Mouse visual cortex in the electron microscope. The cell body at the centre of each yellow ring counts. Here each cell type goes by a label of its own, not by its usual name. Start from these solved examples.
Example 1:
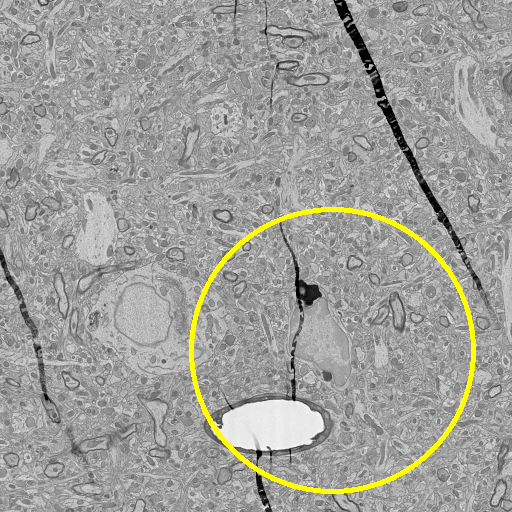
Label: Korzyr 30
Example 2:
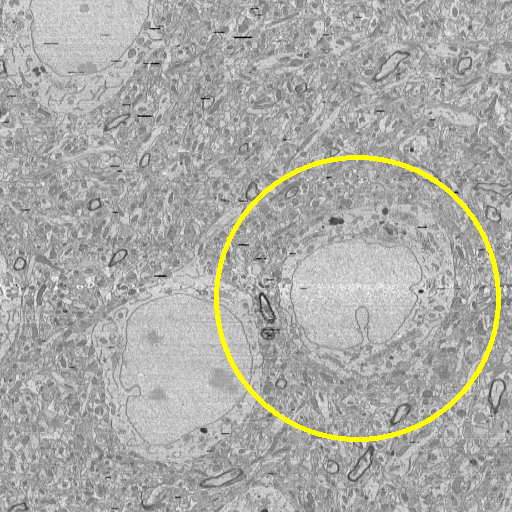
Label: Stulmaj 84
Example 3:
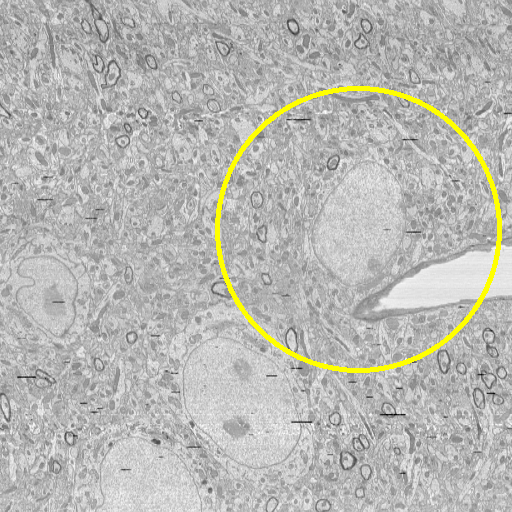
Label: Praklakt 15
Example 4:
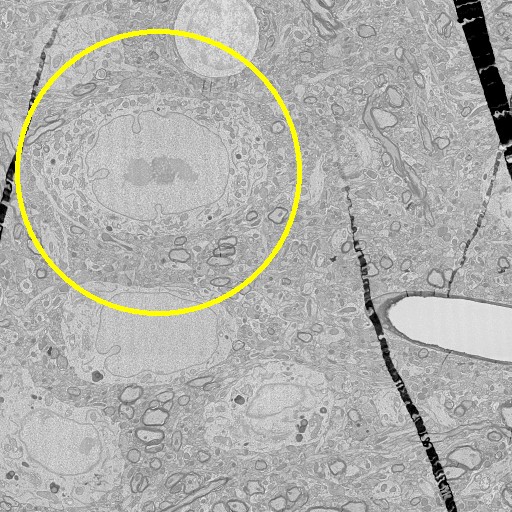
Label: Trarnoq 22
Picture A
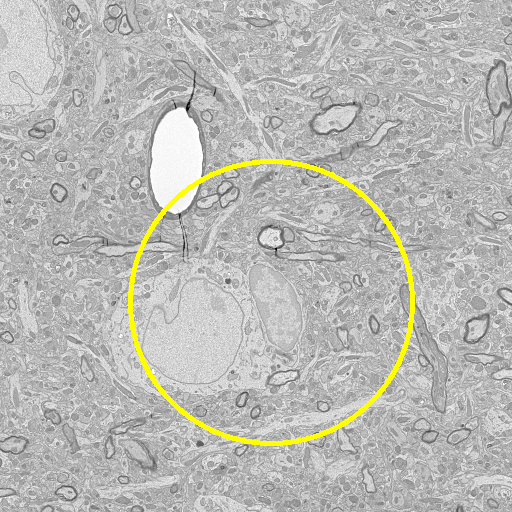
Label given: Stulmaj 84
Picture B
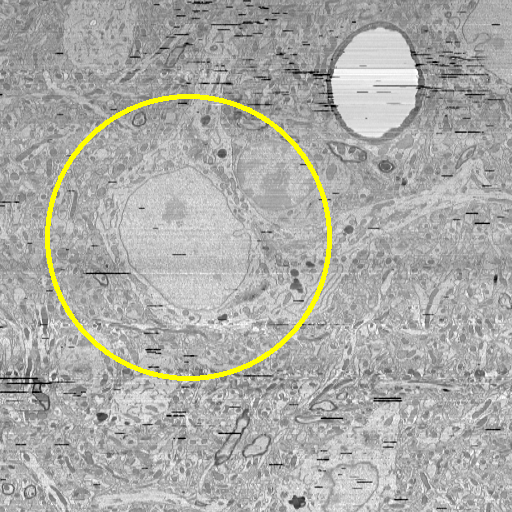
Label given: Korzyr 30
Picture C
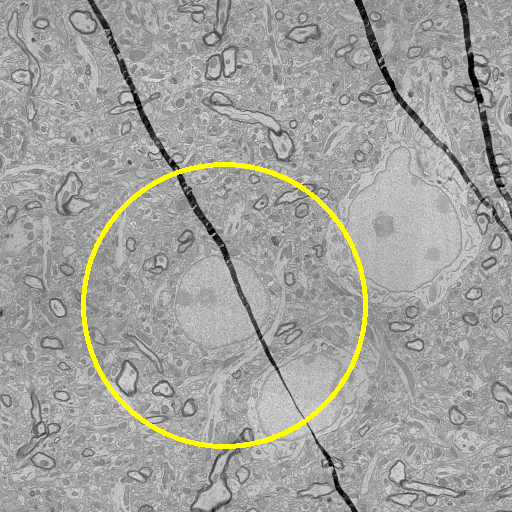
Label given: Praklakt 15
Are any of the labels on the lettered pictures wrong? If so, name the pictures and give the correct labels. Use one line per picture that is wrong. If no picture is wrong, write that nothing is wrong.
A should be Korzyr 30, not Stulmaj 84
B should be Trarnoq 22, not Korzyr 30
